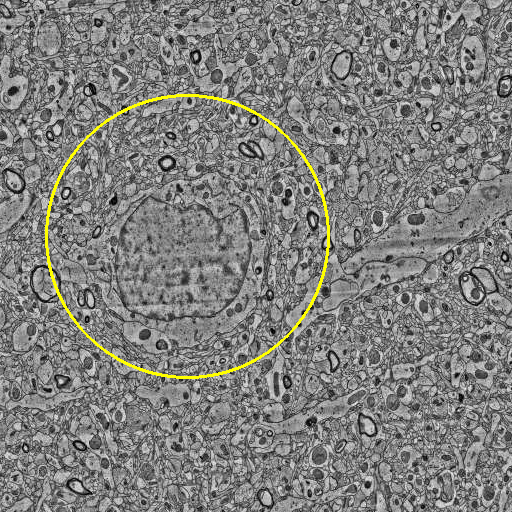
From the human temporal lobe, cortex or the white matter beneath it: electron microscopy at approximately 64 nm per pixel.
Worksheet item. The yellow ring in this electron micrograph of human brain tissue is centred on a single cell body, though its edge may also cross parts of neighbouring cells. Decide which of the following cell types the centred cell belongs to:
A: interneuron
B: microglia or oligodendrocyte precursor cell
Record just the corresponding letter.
A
